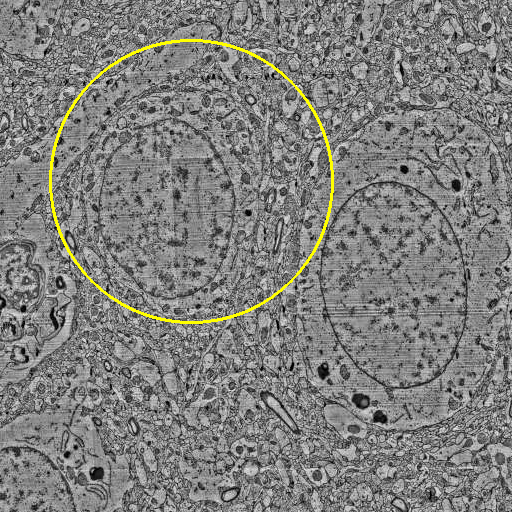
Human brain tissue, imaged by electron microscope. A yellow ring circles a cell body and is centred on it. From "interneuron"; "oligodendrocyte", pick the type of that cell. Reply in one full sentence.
The cell body at the centre of the yellow ring belongs to an interneuron.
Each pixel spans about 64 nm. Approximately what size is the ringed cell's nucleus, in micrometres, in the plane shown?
The nucleus comes to roughly 11 by 9 micrometres in this plane.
